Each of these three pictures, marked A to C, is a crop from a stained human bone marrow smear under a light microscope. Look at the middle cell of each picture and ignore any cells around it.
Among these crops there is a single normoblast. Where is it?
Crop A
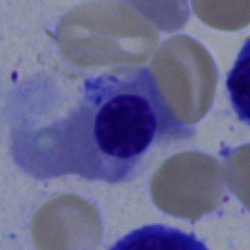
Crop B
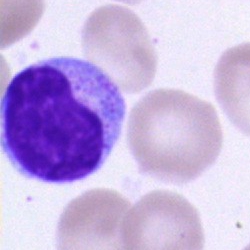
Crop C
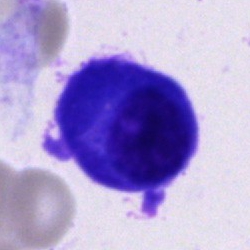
A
